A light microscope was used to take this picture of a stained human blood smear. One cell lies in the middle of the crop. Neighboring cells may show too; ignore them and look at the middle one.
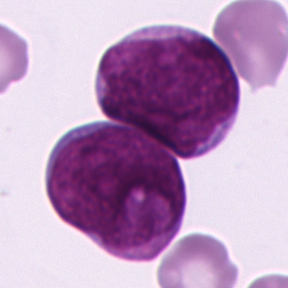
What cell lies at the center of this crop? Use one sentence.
In the crop, the cell of interest at the centre is a myeloblast.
